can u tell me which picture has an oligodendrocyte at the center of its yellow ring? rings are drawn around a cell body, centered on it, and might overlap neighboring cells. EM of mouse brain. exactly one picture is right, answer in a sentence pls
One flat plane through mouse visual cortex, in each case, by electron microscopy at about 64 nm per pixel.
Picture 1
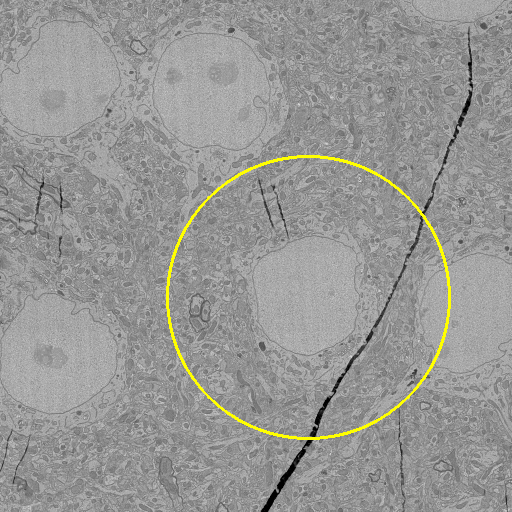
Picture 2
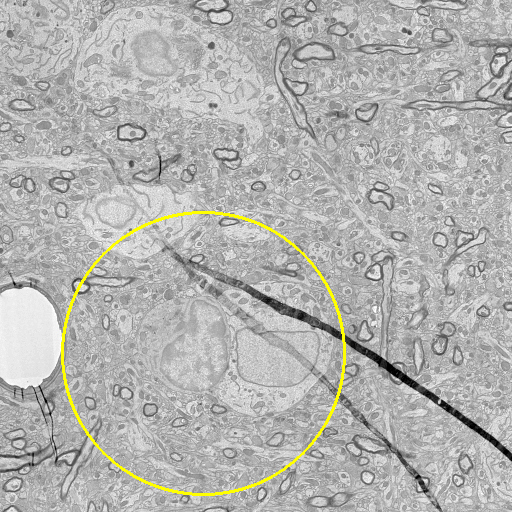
Picture 2 is the one.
